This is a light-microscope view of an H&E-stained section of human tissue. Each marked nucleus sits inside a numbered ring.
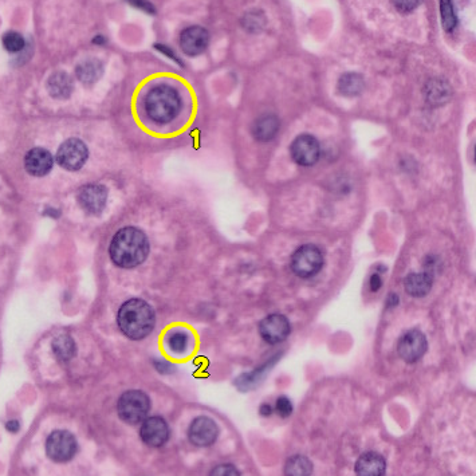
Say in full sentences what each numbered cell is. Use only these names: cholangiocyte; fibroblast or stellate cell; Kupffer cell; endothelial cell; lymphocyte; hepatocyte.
Cell 1 is a hepatocyte and cell 2 is a lymphocyte.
